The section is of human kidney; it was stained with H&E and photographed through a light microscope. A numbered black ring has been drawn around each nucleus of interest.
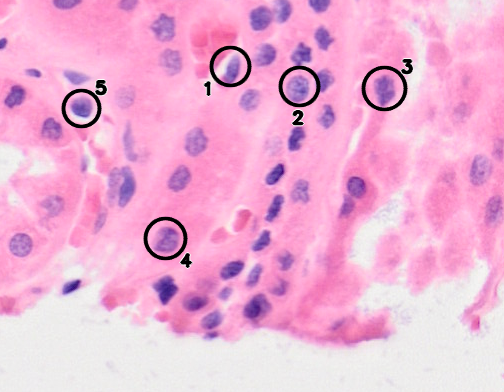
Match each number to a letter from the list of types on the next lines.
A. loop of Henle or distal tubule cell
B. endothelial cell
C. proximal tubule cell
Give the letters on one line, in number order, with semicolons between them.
B; A; C; C; B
